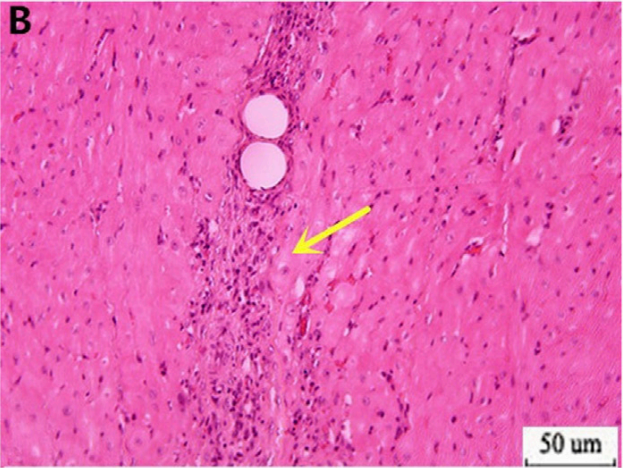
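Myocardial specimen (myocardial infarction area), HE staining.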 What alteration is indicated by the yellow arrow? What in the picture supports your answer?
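A vertical band of densely packed small dark purple nuclei runs through the pink muscle. The crowded nuclei lie between the muscle fibres, next to two round empty spaces. The surrounding muscle has far fewer, sparser nuclei. The answer: infiltration of inflammatory cells.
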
